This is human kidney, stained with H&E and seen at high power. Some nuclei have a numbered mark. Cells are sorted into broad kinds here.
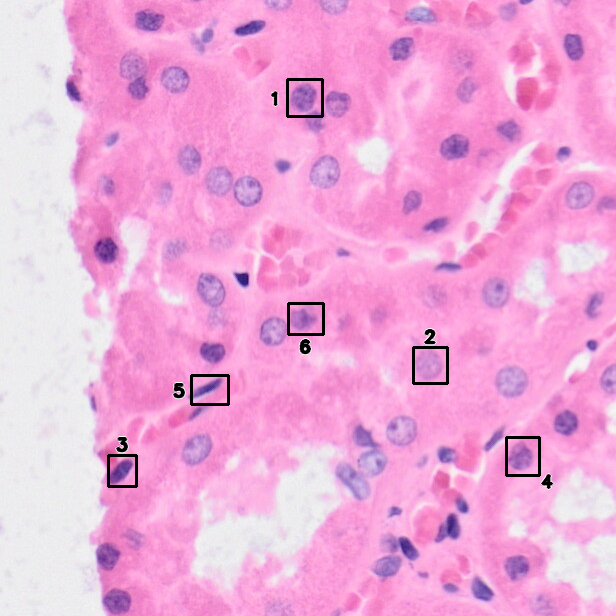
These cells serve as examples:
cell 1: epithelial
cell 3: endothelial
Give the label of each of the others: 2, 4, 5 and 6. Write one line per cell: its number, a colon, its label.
2: epithelial
4: epithelial
5: endothelial
6: epithelial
